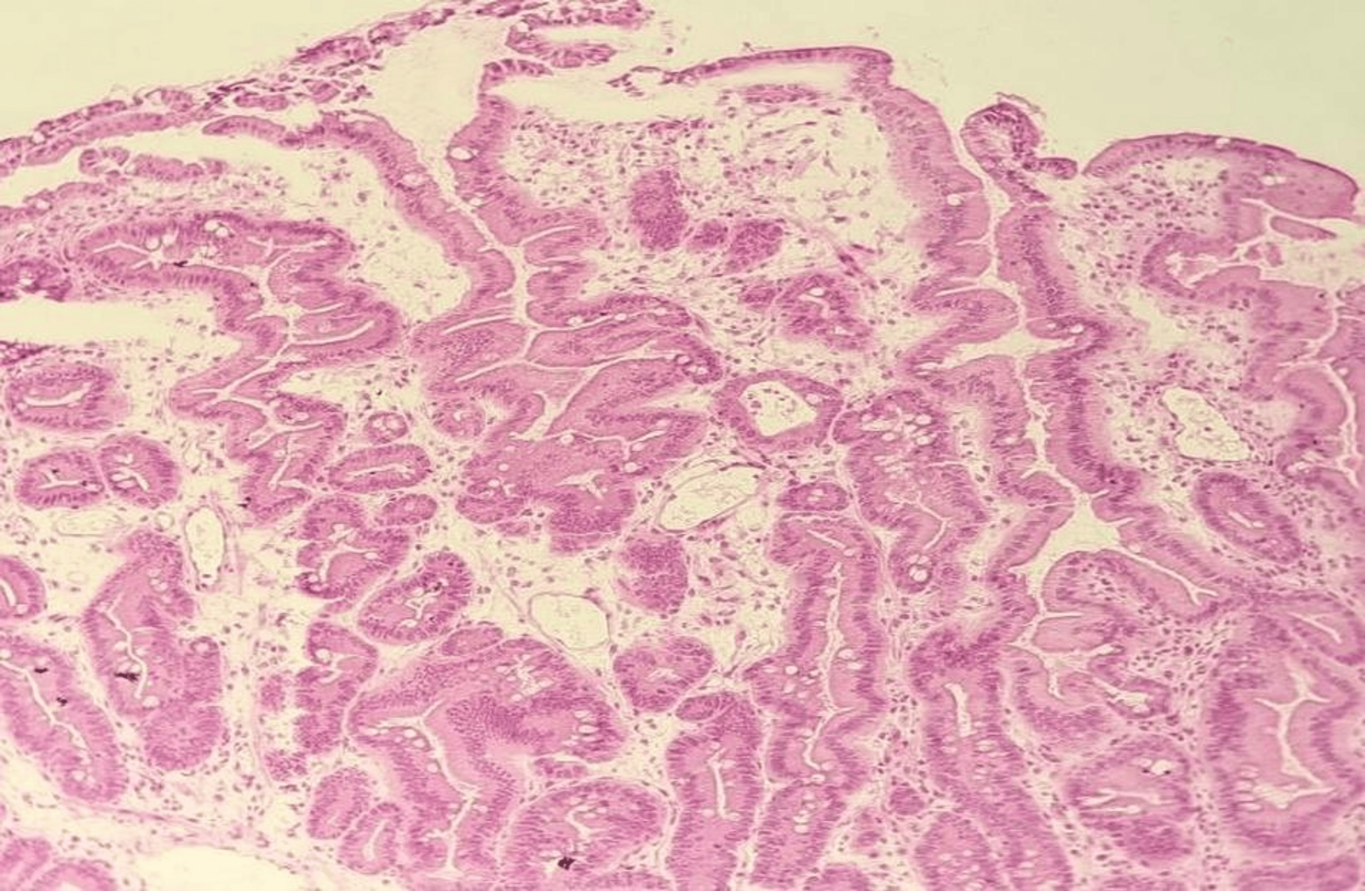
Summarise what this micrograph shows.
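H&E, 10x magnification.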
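This low-power section shows a glandular mucosal lesion. It is made of crowded, convoluted glands lined by tall columnar epithelium. The gland lumens are slit-like and branching, and their edges are saw-toothed and infolded, so the architecture is serrated. The epithelial nuclei are elongated and packed closely together, forming a dense purple band that fills much of the height of the cell layer. The cytoplasm is pink. Scattered clear, rounded vacuoles of goblet cells sit within the lining. Between the glands lies loose, pale, somewhat edematous stroma with scattered cells and a few thin-walled vessels. Together these features fit a traditional serrated adenoma.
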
